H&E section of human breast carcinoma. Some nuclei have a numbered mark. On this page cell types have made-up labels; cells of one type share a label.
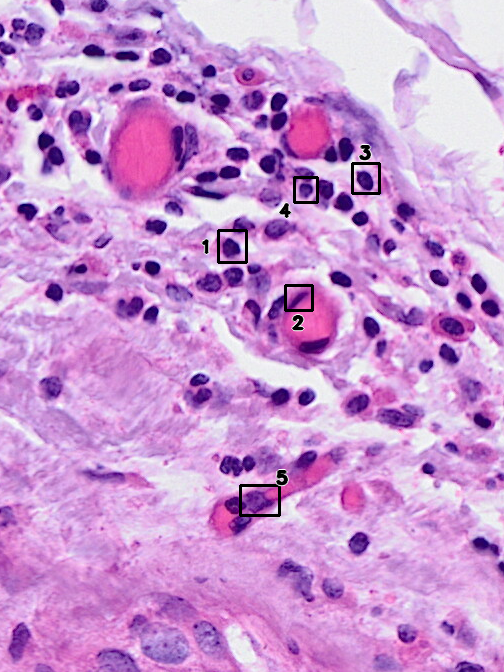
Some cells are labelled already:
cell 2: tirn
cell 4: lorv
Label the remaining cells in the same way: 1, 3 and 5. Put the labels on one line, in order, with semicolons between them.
lorv; lorv; tirn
